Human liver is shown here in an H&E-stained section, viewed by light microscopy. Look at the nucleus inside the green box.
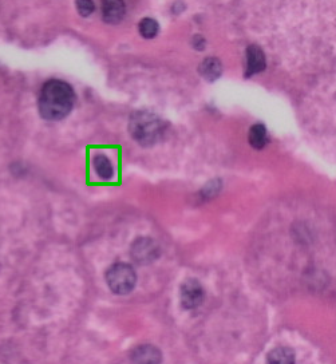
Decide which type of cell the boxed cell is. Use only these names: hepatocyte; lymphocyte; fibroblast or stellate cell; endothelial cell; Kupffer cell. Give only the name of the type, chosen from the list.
lymphocyte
